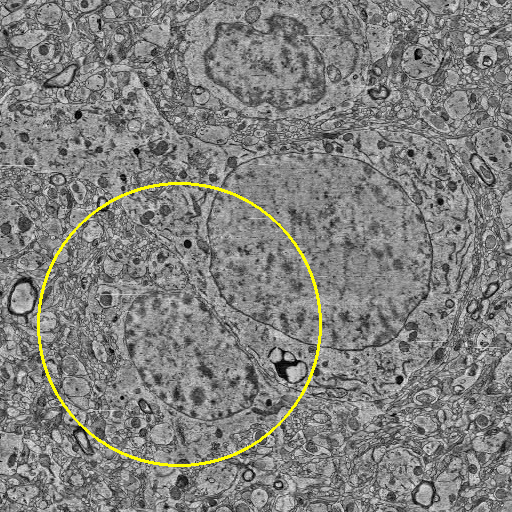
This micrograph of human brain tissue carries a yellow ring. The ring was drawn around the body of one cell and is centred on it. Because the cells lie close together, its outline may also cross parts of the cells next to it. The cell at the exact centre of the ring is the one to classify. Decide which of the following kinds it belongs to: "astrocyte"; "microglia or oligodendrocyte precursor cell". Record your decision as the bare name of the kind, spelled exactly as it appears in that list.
astrocyte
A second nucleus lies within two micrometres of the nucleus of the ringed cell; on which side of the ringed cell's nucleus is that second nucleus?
The other nucleus is positioned to the upper right of it.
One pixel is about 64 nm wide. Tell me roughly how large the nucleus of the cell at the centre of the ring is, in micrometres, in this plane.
Roughly 10 by 7 micrometres is the size of the nucleus in this plane.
